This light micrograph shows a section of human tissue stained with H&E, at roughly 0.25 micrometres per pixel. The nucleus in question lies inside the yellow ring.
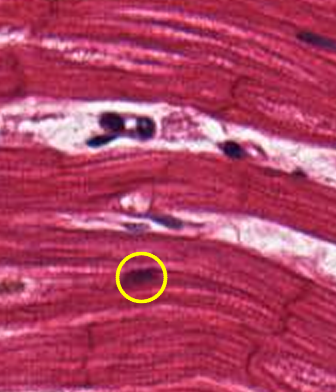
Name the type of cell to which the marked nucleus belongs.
cardiomyocyte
